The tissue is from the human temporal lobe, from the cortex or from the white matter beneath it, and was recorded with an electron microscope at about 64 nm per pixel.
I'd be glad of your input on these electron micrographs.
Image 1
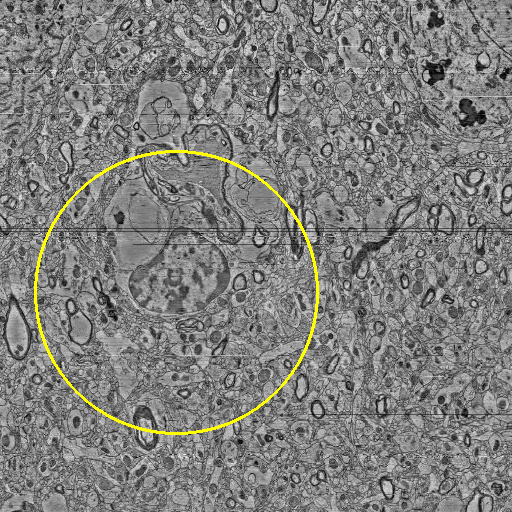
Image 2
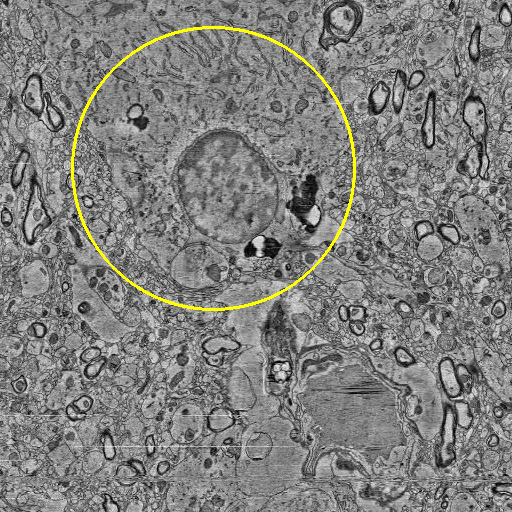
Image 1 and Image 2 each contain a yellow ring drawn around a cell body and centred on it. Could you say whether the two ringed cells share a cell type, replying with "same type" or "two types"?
two types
